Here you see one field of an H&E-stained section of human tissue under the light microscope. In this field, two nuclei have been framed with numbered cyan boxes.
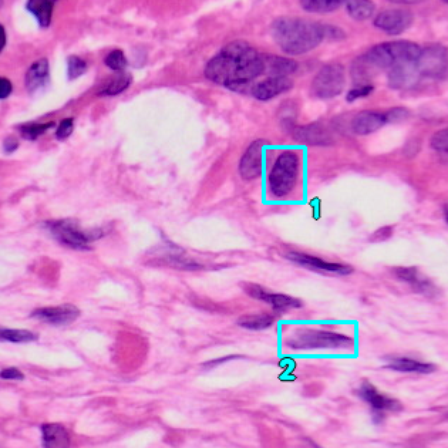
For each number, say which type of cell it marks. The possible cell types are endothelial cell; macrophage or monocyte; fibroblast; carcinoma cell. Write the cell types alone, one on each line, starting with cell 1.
carcinoma cell
fibroblast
